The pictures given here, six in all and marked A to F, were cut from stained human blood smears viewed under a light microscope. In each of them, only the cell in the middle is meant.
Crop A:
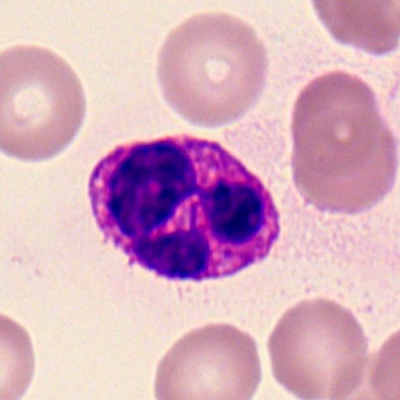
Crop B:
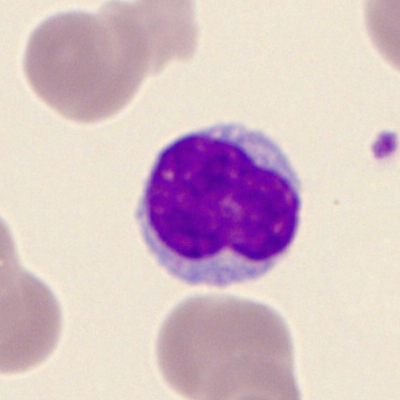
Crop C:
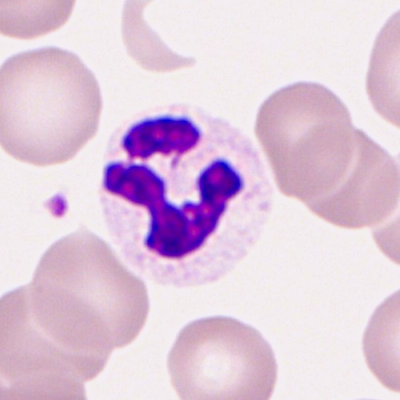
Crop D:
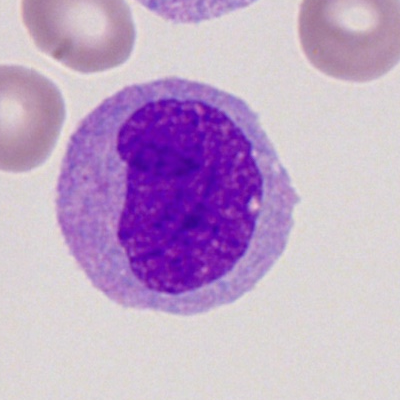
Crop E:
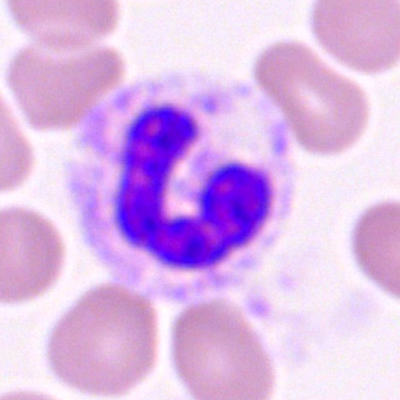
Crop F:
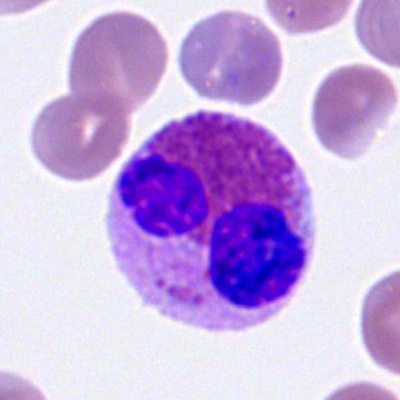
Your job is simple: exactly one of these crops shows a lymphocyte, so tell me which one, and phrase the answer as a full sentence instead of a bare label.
Among the crops given, only crop B shows a lymphocyte.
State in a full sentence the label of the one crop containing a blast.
The cell at the center of crop D is the one that is a blast.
